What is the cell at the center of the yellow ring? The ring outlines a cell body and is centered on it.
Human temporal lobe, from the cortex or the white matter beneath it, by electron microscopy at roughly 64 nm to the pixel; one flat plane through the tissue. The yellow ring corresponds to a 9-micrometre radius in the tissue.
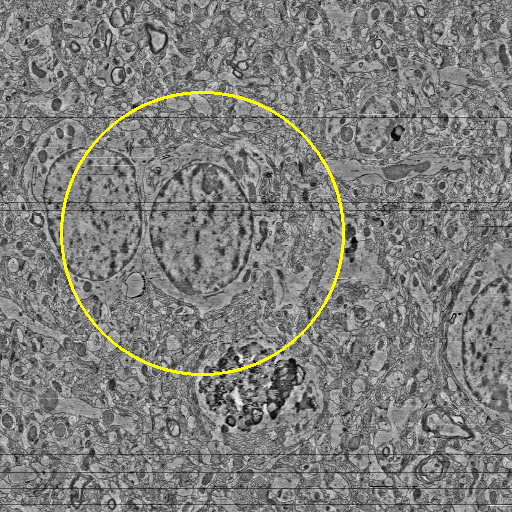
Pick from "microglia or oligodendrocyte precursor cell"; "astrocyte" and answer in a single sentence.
The yellow ring is centered on an astrocyte.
